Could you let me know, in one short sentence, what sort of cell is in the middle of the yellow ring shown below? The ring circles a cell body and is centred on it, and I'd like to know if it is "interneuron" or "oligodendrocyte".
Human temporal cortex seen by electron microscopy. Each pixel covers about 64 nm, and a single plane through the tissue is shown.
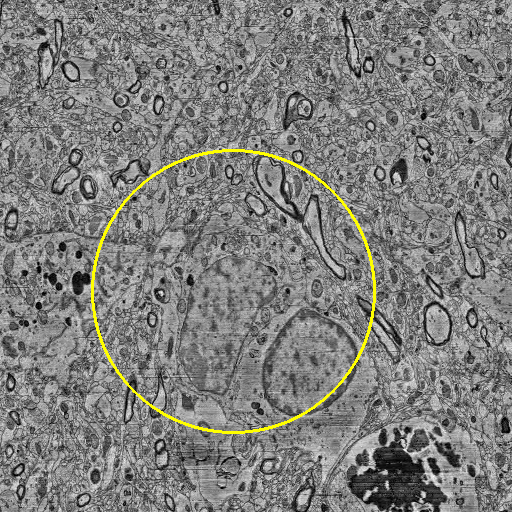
The ring circles the cell body of an interneuron.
